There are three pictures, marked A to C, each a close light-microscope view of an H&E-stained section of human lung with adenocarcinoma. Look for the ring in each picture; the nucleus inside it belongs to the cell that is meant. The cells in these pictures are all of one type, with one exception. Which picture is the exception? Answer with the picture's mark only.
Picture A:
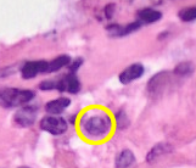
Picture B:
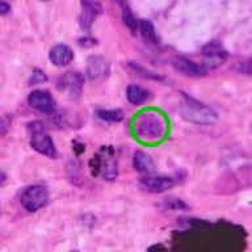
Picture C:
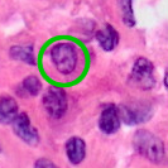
A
